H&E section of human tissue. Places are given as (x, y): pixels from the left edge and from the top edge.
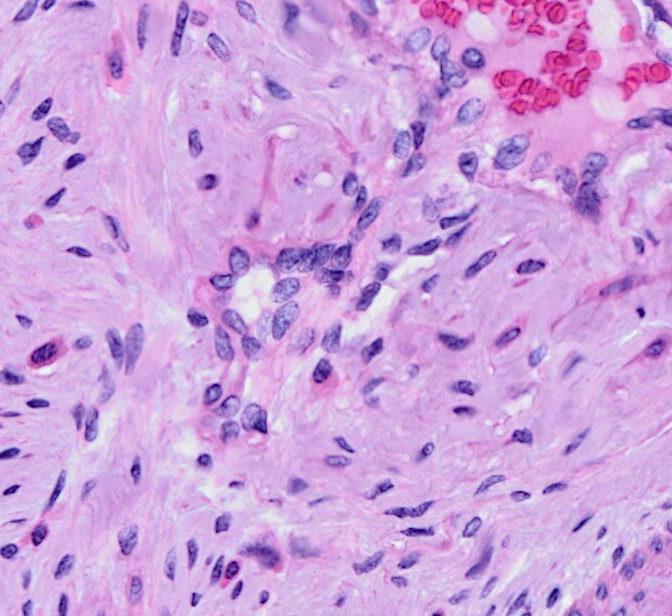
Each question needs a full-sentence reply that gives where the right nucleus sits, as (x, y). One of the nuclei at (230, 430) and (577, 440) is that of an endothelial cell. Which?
The nucleus that belongs to an endothelial cell is located at (230, 430).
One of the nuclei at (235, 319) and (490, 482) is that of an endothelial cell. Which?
At (235, 319) lies the nucleus that belongs to an endothelial cell.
